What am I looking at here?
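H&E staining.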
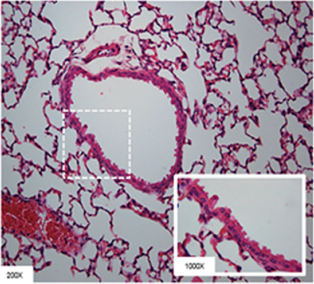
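The tissue around the airway is narrow and holds few scattered nuclei. A vessel filled with red blood cells lies at the lower left. All around, the alveoli form a delicate network of thin pink walls with occasional nuclei. There is little crowding of small dark cells around the airway or vessels.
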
